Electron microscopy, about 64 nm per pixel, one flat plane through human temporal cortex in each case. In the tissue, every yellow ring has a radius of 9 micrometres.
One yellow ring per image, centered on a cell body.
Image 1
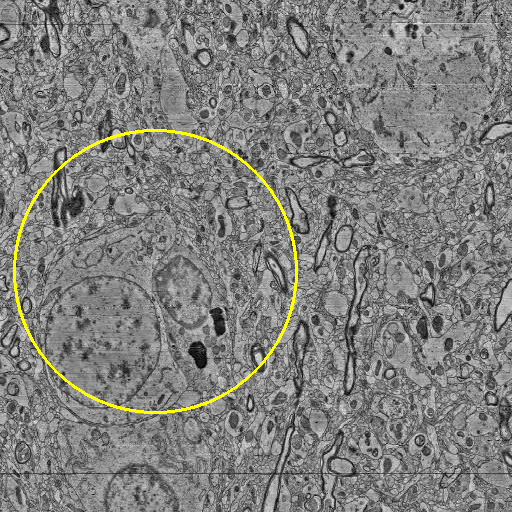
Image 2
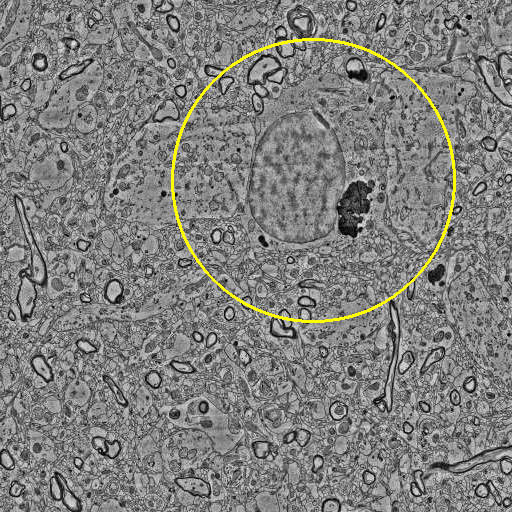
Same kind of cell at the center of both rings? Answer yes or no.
yes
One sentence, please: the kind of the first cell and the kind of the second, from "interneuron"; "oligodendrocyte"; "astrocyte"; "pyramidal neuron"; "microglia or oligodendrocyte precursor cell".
In the first picture and in the second, the ring is centred on an oligodendrocyte.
